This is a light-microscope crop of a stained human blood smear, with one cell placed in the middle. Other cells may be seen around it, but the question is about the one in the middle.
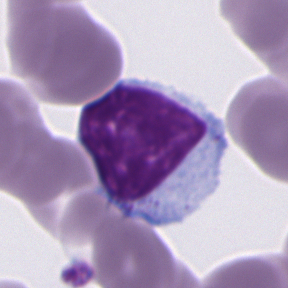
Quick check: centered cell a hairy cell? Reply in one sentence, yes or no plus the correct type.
No, it isn't a hairy cell; what sits in the middle is a typical lymphocyte.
